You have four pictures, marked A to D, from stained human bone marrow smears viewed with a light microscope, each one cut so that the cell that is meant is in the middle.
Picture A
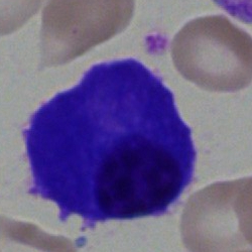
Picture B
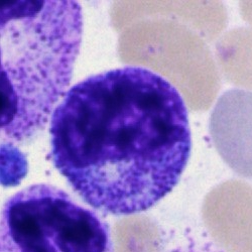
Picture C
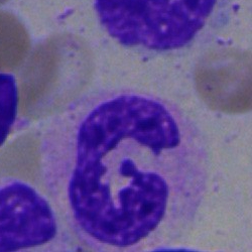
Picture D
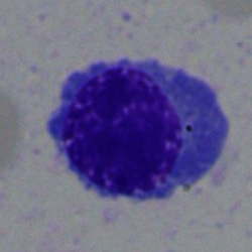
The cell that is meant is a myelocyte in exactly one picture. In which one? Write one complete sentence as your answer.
Picture B is the one that shows the myelocyte.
